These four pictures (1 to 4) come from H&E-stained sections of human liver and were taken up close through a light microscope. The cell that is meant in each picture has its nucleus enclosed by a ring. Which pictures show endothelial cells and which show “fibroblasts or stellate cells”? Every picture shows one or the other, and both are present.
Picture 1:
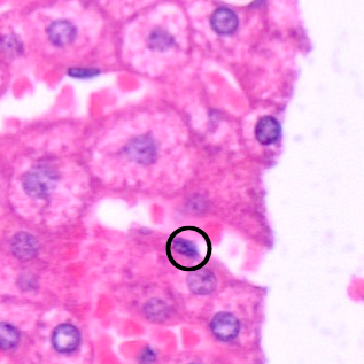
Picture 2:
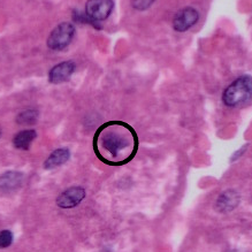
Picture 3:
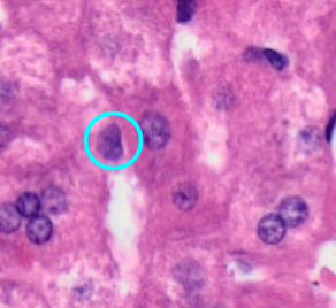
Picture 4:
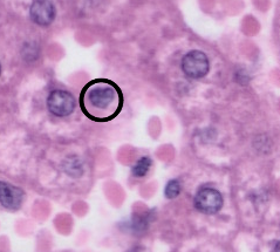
1: fibroblast or stellate cell
2: endothelial cell
3: endothelial cell
4: fibroblast or stellate cell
